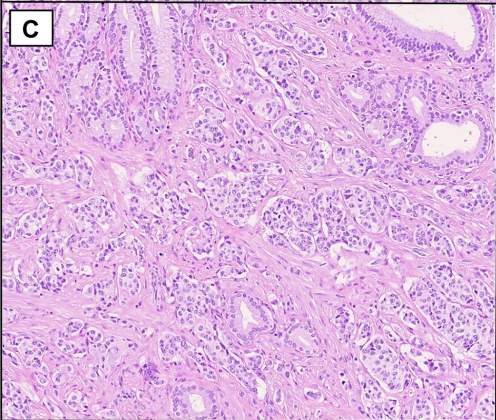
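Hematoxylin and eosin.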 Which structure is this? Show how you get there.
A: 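Uniform tumor cells form small nests and cords. Cords and nests are separated by pink fibrous stroma. That points to this answer: nested-to-trabecular structure.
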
